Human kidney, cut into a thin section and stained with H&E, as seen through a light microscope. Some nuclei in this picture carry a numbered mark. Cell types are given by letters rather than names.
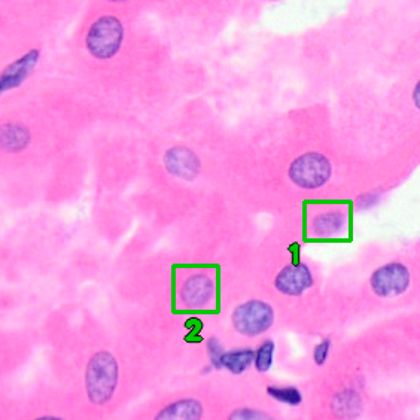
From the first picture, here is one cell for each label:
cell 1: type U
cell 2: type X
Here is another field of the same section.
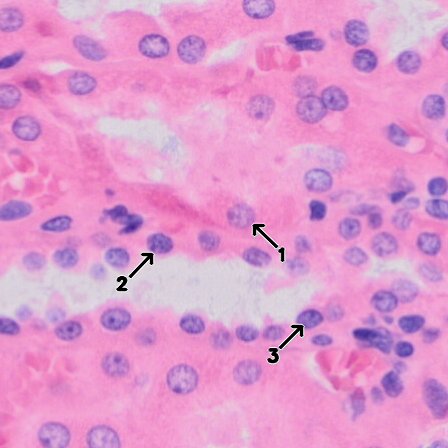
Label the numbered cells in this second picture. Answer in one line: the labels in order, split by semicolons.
type X; type U; type U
